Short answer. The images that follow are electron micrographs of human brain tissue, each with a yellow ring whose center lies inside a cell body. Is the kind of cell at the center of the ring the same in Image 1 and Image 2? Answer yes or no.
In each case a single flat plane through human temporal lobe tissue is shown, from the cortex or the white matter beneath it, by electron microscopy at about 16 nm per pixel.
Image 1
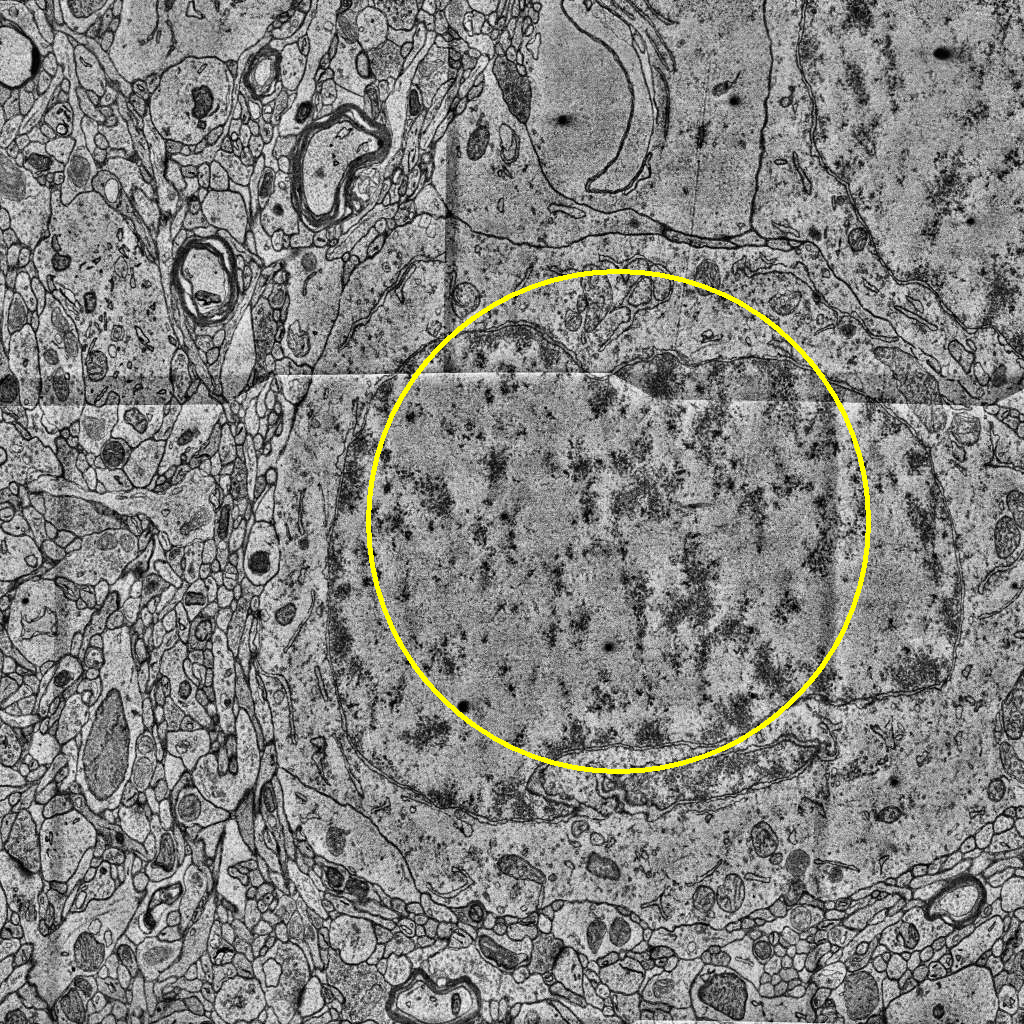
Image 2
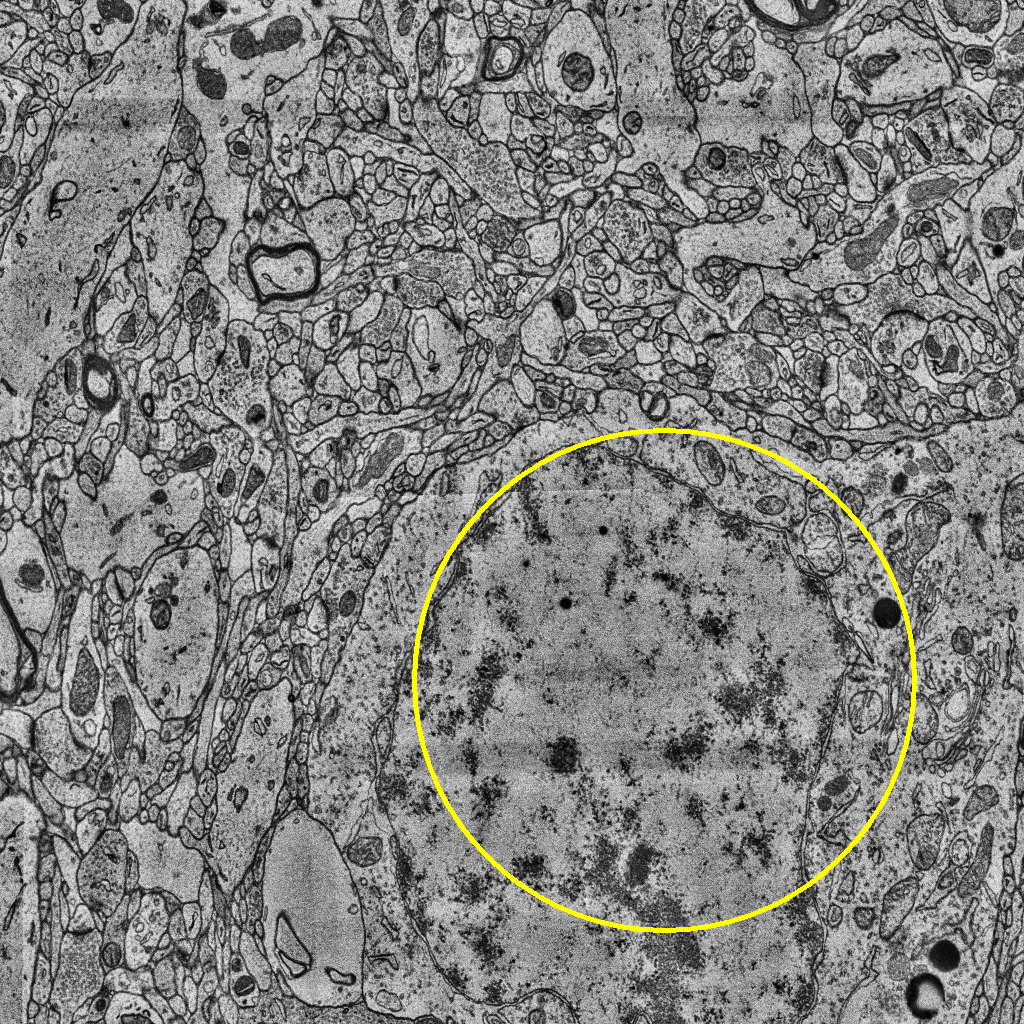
yes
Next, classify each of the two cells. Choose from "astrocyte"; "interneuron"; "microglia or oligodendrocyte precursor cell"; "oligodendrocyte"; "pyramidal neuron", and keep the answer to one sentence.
Each of the two pictures has an interneuron at the ring centre.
